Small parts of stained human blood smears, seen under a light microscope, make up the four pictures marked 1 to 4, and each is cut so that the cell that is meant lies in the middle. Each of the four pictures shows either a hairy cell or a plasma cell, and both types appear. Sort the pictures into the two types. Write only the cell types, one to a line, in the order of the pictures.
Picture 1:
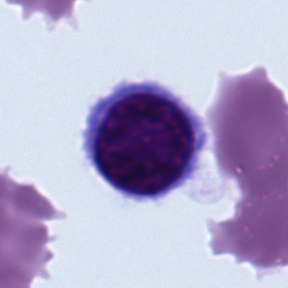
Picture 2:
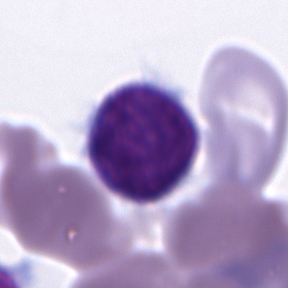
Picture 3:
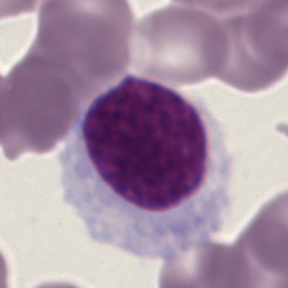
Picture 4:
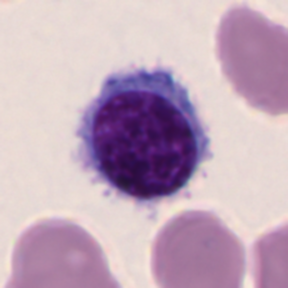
hairy cell
hairy cell
hairy cell
plasma cell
